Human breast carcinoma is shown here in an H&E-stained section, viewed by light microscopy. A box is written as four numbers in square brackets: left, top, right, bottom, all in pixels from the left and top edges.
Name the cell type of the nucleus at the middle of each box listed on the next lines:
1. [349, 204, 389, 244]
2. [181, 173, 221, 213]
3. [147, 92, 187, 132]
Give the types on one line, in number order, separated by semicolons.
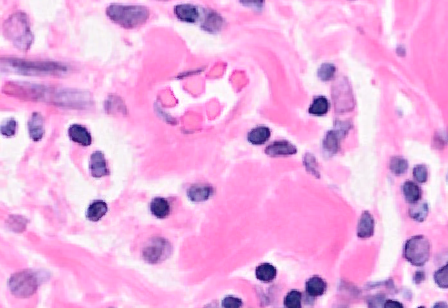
lymphocyte; lymphocyte; endothelial cell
